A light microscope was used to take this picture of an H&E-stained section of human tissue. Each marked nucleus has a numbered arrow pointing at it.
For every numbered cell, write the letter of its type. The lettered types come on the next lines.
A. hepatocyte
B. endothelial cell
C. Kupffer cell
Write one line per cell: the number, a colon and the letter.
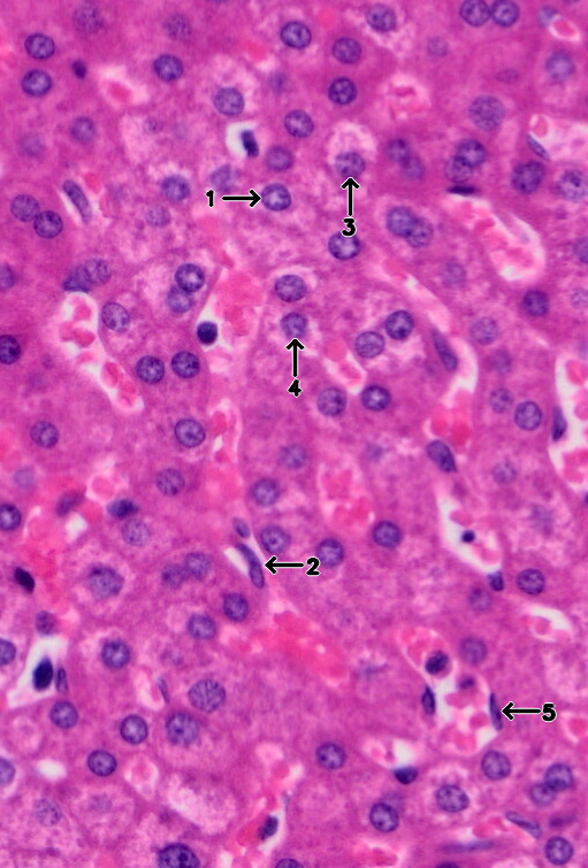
1: A
2: C
3: A
4: A
5: B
